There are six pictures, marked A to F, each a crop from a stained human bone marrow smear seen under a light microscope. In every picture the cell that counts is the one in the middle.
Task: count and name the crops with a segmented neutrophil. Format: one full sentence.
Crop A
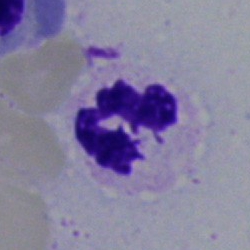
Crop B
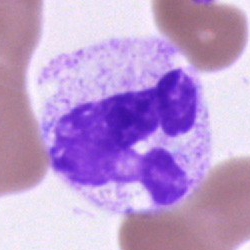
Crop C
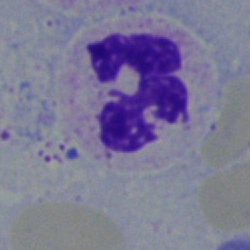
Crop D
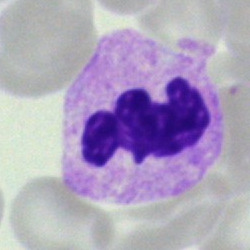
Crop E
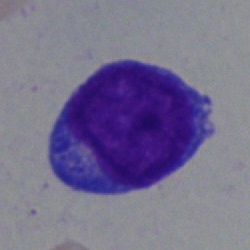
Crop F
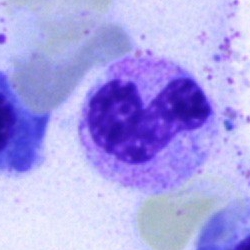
In this group, four crops have segmented neutrophils: A, B, C and D.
